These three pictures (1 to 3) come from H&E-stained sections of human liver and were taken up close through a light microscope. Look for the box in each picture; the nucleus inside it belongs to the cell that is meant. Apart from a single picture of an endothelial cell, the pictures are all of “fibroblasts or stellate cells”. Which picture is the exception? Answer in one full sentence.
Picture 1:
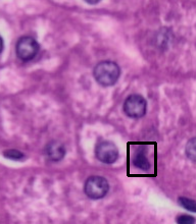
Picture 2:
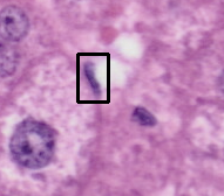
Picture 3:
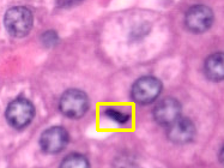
The picture with the endothelial cell is 2.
